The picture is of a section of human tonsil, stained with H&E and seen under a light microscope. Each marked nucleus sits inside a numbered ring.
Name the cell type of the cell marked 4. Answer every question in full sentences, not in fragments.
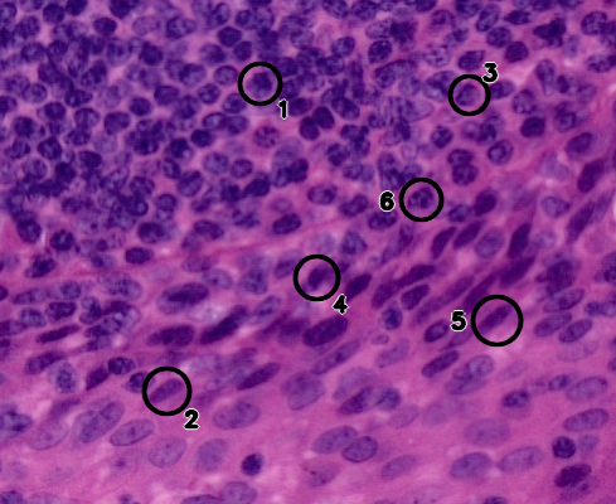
Within this field of view, the cell labelled 4 is a squamous epithelial cell.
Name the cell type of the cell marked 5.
Cell 5 is classified as a squamous epithelial cell.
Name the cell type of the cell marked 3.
Number 3 is placed on a plasma cell here.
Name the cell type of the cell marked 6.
The marked cell with the number 6 is recognised as a plasma cell.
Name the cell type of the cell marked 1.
Among the marked nuclei, number 1 belongs to a small lymphocyte.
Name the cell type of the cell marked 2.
Cell 2, among those numbered, is a squamous epithelial cell.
